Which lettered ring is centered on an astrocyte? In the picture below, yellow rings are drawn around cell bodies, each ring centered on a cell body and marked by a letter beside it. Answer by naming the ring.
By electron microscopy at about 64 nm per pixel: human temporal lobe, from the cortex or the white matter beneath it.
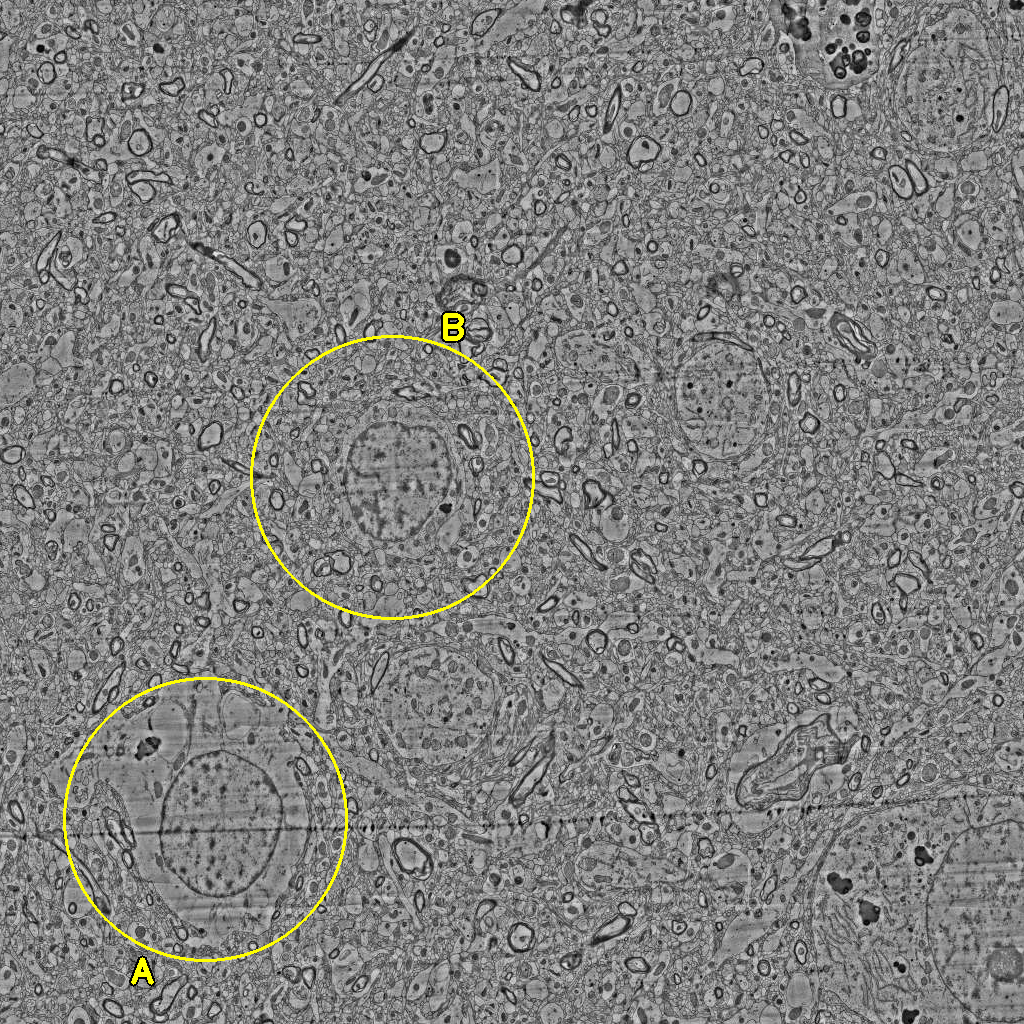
Ring A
